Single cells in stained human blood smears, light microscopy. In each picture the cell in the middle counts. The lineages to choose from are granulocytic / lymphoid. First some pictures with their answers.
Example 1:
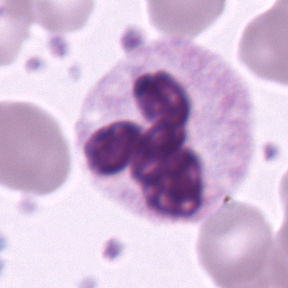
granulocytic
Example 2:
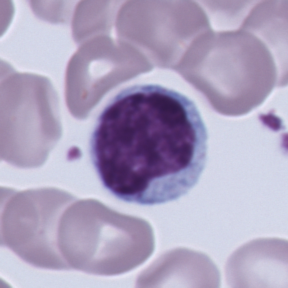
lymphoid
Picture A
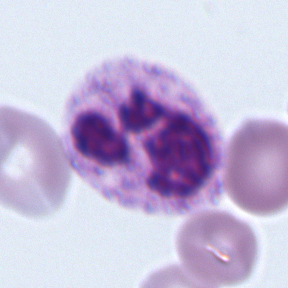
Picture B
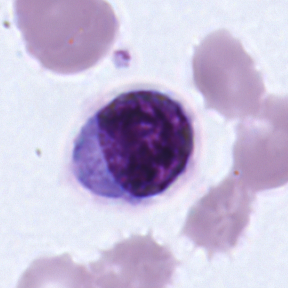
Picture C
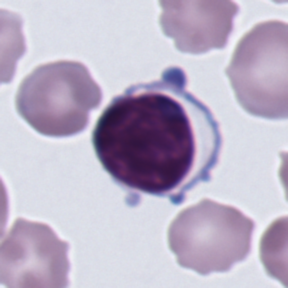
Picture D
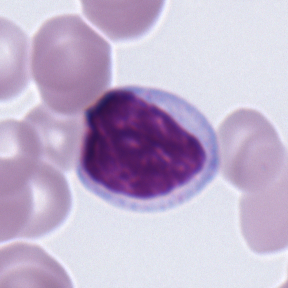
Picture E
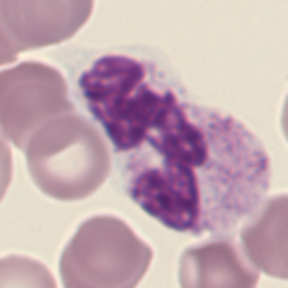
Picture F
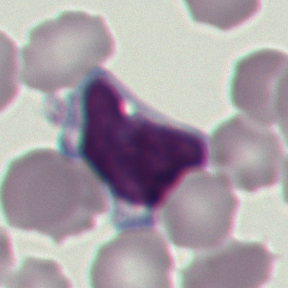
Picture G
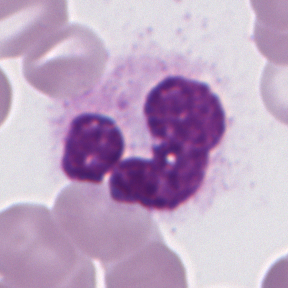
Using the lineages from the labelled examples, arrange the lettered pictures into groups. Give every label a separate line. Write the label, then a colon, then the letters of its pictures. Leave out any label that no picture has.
granulocytic: A, E, G
lymphoid: B, C, D, F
